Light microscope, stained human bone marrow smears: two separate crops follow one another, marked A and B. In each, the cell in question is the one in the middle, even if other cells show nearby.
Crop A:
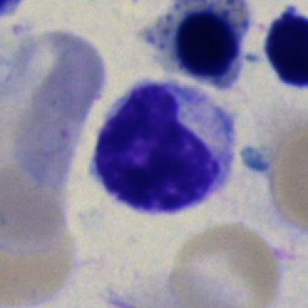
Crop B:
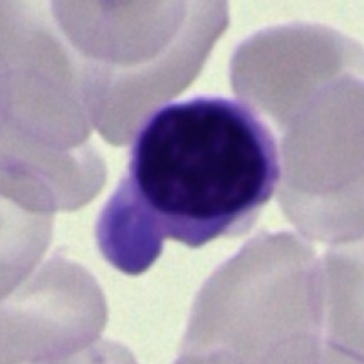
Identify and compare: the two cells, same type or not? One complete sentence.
No, crop A contains a lymphocyte; an erythroblast is what crop B contains.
